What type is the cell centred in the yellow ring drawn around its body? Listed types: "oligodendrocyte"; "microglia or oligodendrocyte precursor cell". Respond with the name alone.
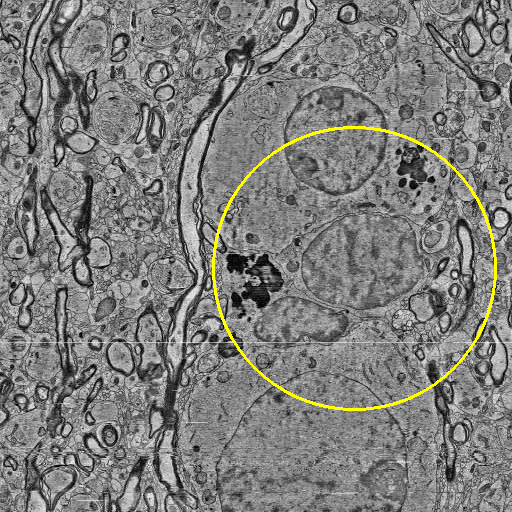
oligodendrocyte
